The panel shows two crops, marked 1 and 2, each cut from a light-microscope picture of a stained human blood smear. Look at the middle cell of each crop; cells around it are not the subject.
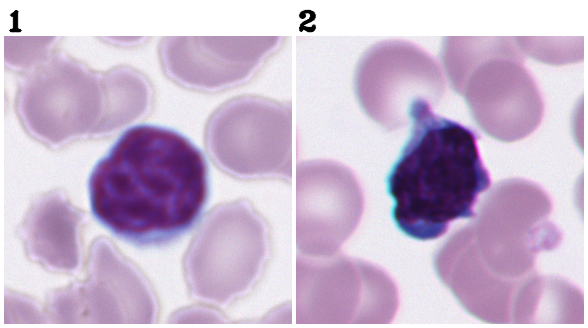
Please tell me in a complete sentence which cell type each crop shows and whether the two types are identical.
Yes, both crops depict lymphocytes at the centre.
